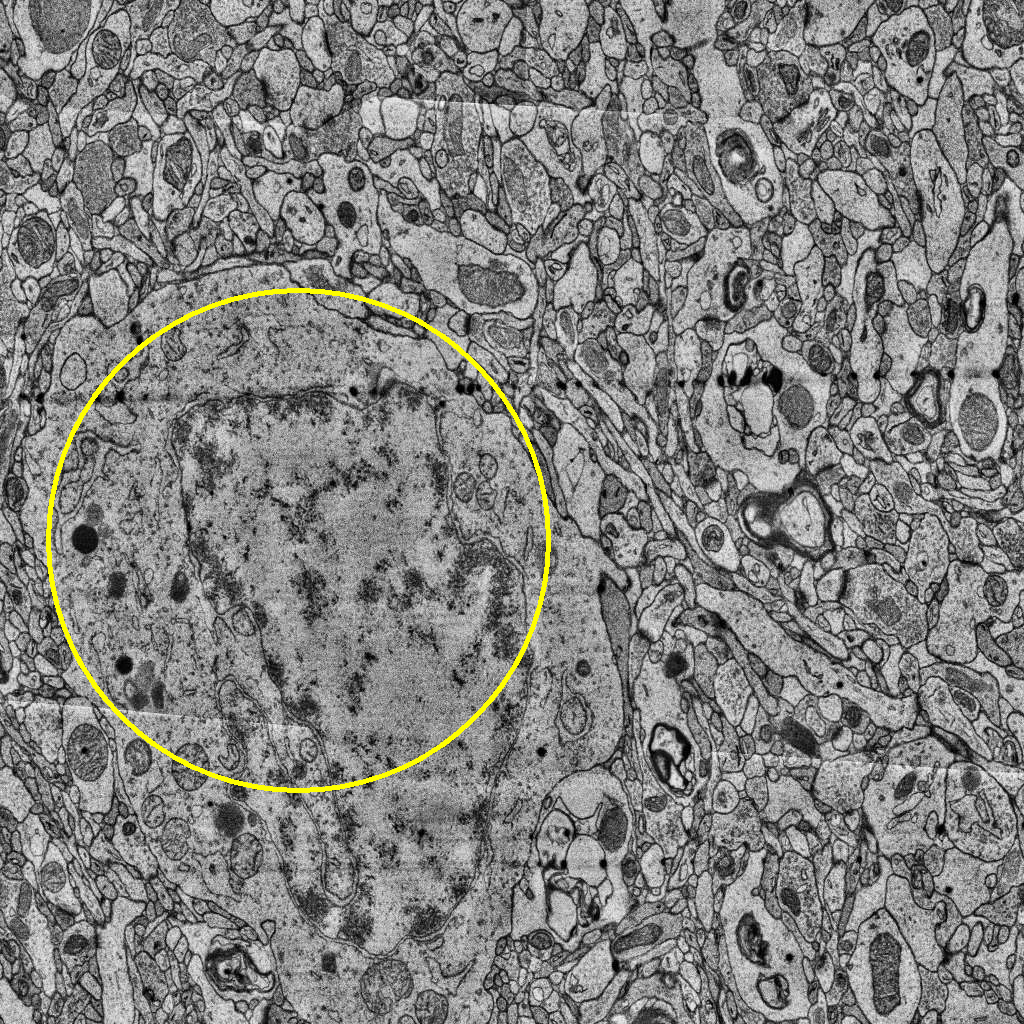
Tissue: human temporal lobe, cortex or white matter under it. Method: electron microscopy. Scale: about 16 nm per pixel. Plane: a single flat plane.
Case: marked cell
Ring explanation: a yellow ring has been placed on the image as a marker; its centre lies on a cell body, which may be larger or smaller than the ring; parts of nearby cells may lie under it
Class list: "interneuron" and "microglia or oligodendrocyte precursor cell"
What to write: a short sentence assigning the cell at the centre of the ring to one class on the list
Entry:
The cell at the ring's centre is an interneuron.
